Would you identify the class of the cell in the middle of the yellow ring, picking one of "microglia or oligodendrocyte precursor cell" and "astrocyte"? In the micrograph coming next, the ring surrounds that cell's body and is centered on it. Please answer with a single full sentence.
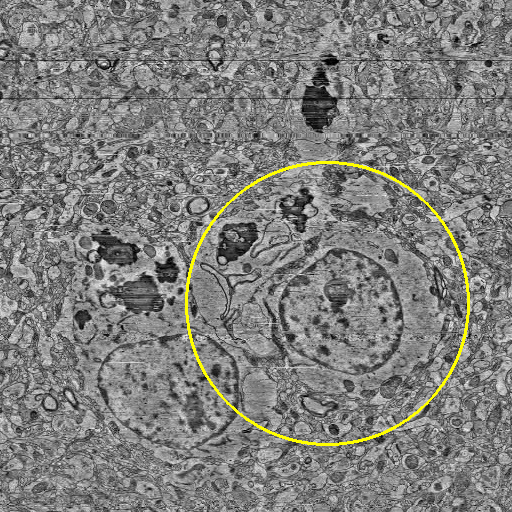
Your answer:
In the micrograph, it is an astrocyte whose body lies at the ring's center.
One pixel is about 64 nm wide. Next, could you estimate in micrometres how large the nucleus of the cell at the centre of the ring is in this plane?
The nucleus is about 8 micrometres across in this plane.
